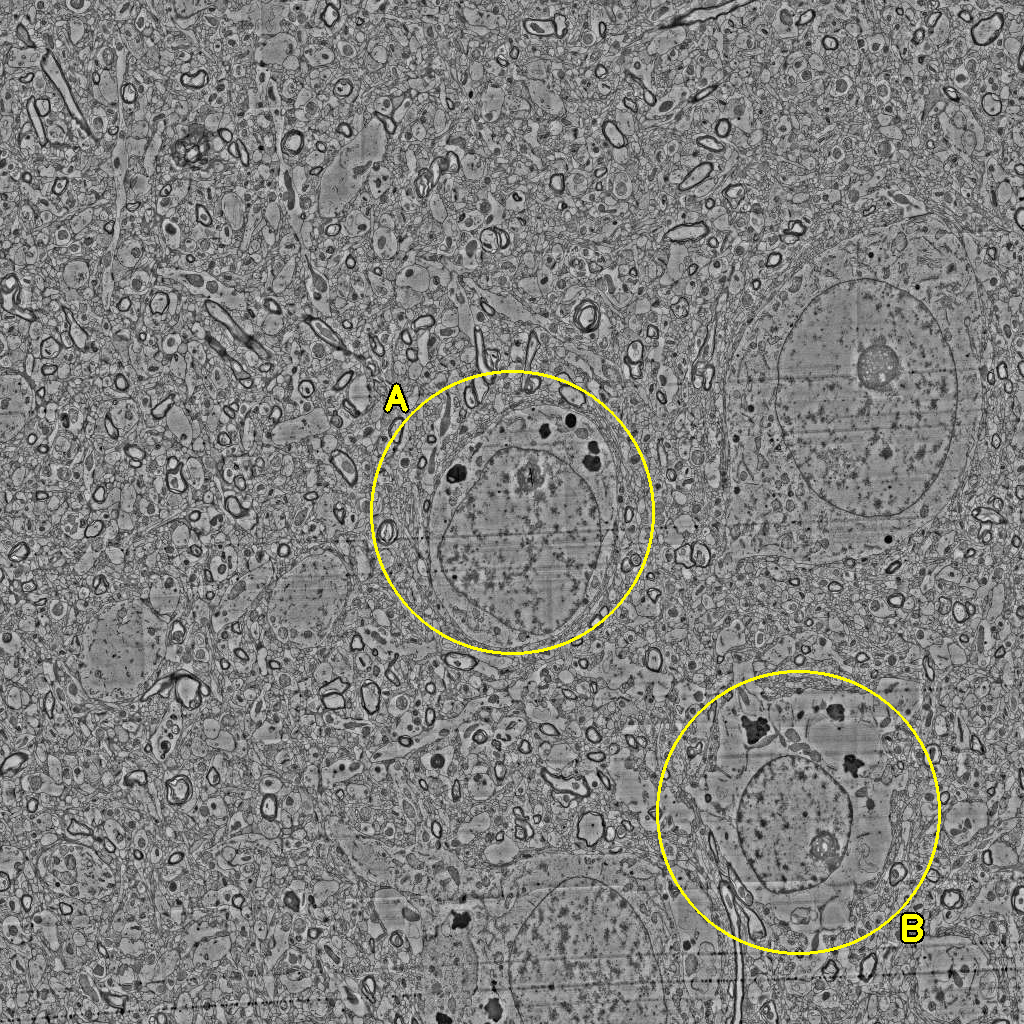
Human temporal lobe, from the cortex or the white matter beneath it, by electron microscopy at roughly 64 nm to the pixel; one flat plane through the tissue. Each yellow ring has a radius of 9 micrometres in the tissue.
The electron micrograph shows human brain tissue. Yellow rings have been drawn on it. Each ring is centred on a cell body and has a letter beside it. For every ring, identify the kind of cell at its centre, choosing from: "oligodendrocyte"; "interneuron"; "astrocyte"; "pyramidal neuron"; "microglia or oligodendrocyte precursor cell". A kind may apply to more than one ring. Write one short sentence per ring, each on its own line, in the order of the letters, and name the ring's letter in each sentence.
Ring A is centred on a pyramidal neuron.
Ring B is centred on an astrocyte.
